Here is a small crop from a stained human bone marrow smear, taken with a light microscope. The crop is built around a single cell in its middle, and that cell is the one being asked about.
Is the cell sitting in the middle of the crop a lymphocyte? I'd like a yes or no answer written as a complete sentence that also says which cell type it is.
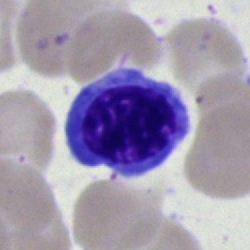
No, what lies at the heart of the crop is a normoblast, not a lymphocyte.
